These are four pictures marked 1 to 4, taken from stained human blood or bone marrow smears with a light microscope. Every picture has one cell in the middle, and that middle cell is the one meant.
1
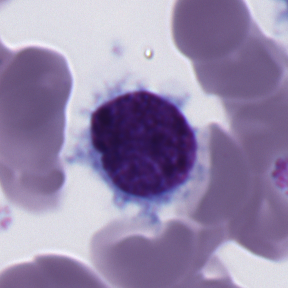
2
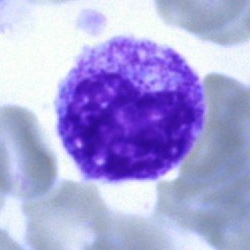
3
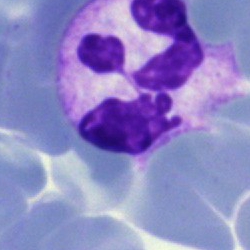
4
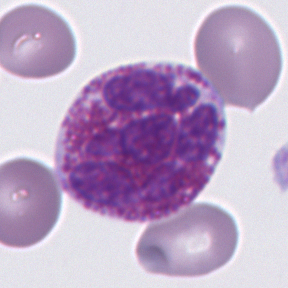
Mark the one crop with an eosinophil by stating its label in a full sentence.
Among all the crops given here, the one with an eosinophil is crop 4.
